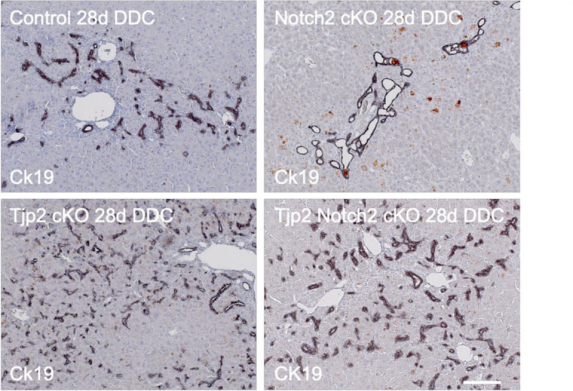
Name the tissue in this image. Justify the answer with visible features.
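Round vessel lumina with small ducts clustered around them interrupt the sheets.
Answer: liver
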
